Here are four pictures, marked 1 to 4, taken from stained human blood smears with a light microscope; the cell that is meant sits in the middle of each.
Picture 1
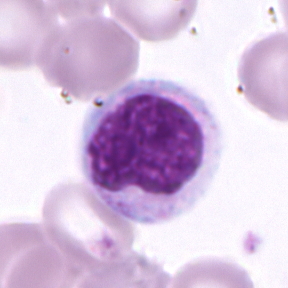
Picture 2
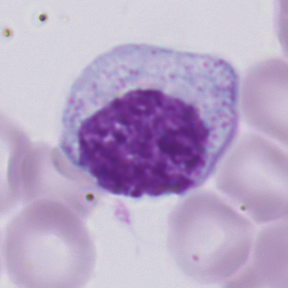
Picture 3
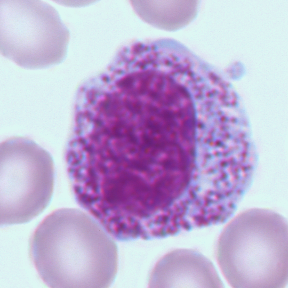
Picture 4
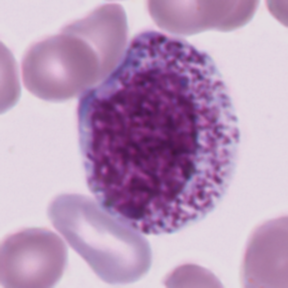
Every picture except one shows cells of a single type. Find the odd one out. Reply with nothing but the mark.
1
